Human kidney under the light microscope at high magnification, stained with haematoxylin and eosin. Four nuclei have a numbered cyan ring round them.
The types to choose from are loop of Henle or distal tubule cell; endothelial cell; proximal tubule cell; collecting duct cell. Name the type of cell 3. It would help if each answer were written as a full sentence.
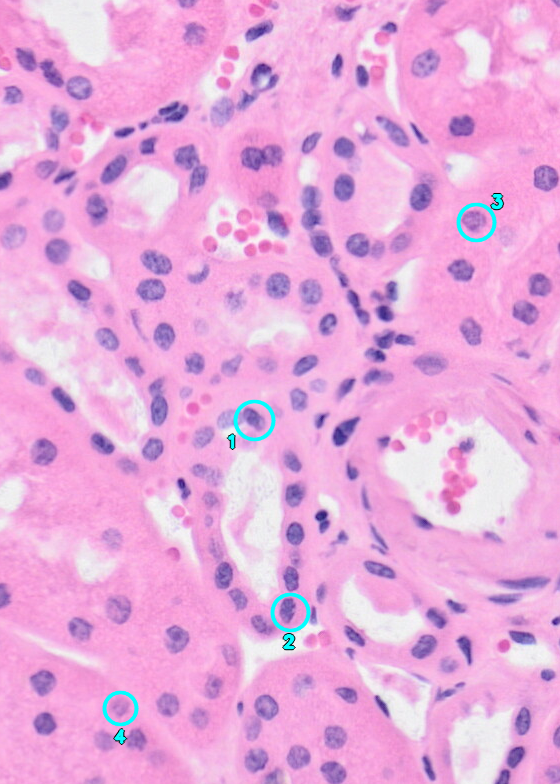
The identity of cell 3 is that of a proximal tubule cell.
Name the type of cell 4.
Here the cell numbered 4 is a proximal tubule cell.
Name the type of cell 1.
Marked with the number 1, this cell is a collecting duct cell.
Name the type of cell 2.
To a collecting duct cell belongs the nucleus marked 2.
